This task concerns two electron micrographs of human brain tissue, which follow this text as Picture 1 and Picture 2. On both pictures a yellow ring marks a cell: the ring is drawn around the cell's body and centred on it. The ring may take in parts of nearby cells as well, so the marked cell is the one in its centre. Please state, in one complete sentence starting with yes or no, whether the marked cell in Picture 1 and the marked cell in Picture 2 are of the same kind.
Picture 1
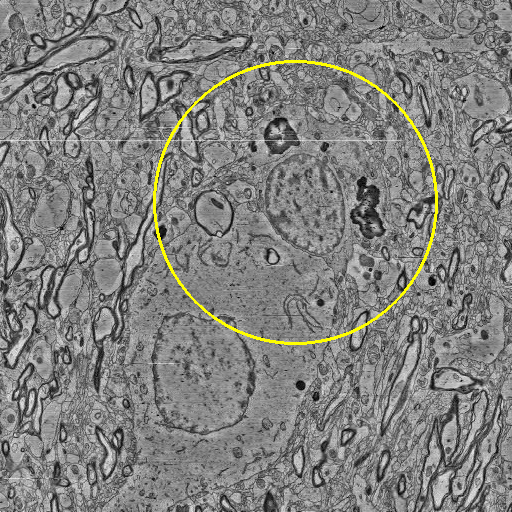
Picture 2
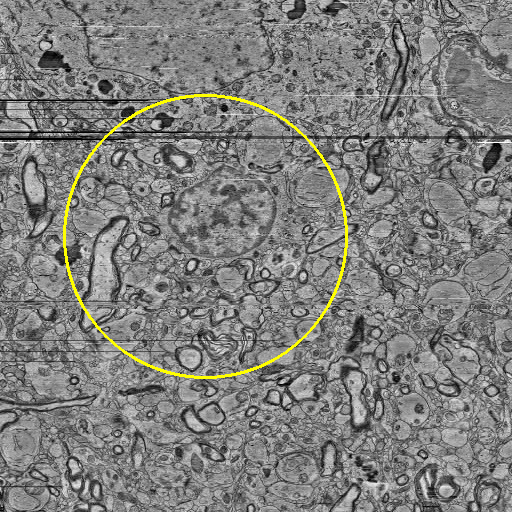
Yes, the marked cells in both pictures are of the same kind.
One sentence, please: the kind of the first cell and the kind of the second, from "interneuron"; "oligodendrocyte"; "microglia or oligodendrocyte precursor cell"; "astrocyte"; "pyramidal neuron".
The second cell is an oligodendrocyte, just as the first is.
